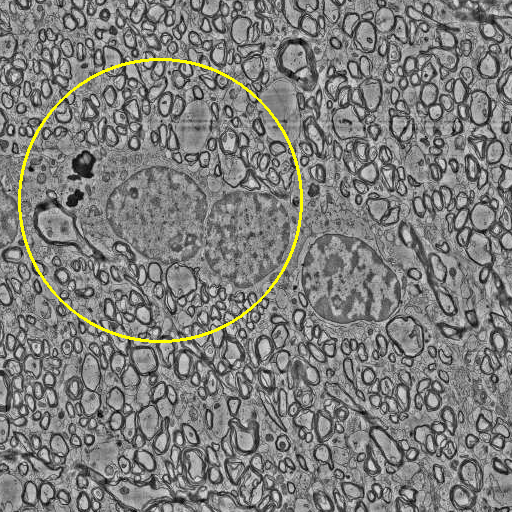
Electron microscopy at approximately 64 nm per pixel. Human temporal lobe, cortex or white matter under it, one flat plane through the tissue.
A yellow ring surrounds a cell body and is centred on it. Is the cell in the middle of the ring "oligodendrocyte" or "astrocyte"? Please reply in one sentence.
The ring is centred on an oligodendrocyte.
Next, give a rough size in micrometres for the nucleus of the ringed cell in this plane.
Roughly 7 micrometres across, measured in this plane.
